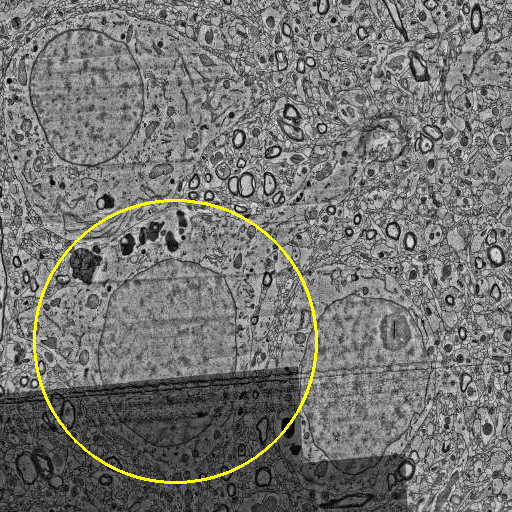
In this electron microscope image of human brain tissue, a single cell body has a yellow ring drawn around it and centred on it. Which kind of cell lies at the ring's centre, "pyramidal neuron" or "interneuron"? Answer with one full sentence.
It is a pyramidal neuron whose cell body lies at the centre of the yellow ring here.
